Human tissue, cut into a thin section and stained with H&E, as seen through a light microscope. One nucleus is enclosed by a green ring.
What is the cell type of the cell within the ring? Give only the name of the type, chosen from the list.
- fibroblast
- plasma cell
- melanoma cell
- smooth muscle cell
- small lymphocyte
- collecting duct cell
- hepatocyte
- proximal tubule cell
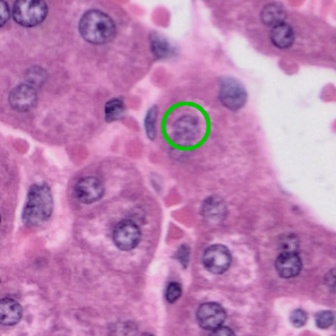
hepatocyte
